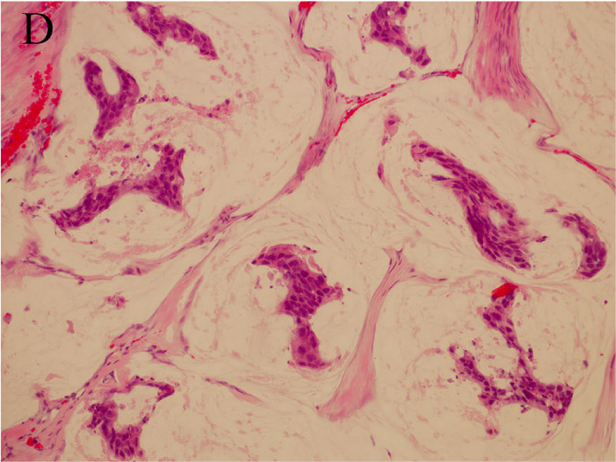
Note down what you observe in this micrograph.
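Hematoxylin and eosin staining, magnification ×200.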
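Mucinous adenocarcinoma in which small clusters, strips and gland-like groups of tumour cells with dark purple nuclei float within large pools of pale, wispy extracellular mucin. The mucin pools are partitioned by thin pink fibrous septa, with a few red blood cells at the edge.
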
